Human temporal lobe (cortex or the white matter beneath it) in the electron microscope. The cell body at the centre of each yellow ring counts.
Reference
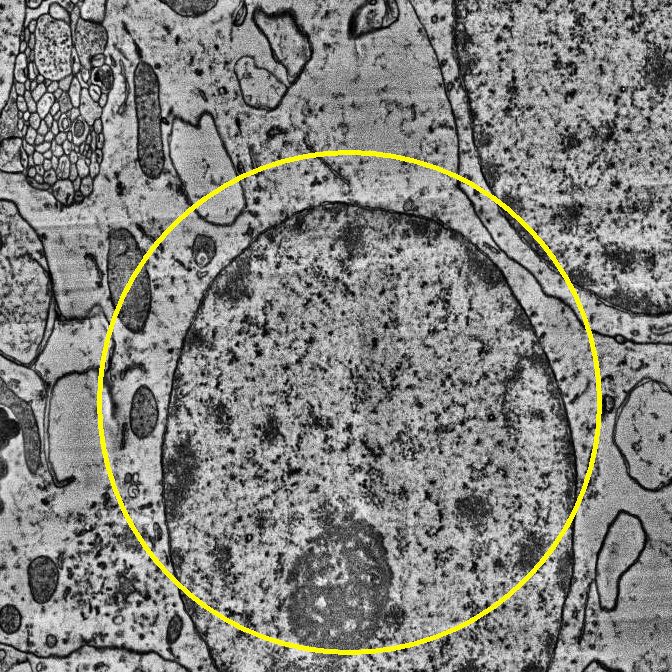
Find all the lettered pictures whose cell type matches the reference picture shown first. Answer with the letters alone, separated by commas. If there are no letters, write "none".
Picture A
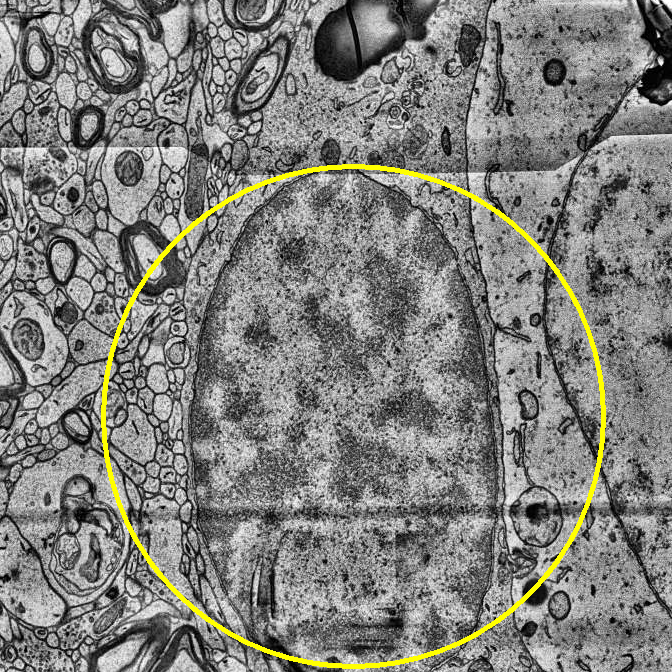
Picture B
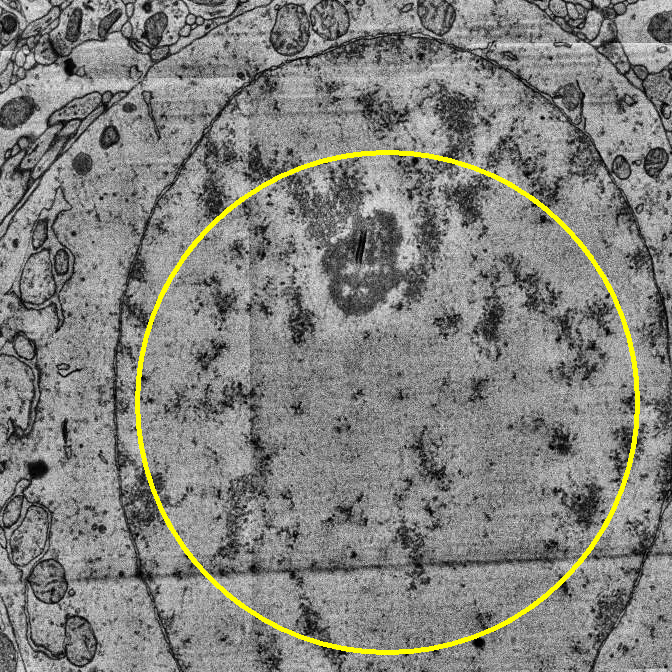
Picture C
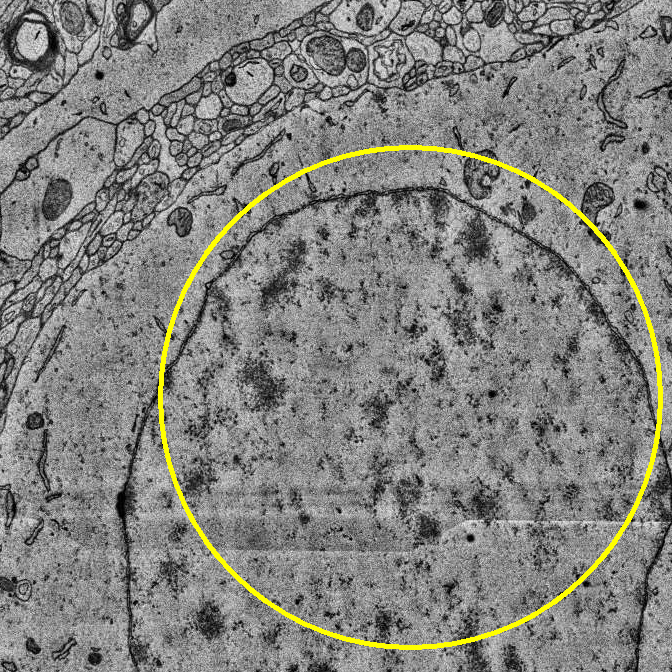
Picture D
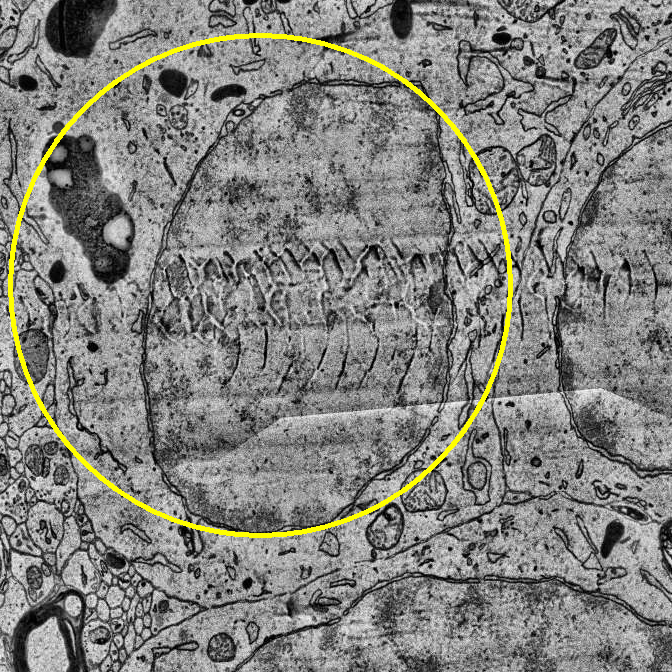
none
